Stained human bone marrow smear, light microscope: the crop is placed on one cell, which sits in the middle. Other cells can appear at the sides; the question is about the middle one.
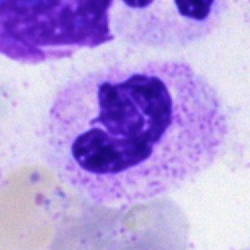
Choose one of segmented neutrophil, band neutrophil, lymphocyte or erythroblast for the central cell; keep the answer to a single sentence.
In the middle of this smear crop, the cell is a segmented neutrophil.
